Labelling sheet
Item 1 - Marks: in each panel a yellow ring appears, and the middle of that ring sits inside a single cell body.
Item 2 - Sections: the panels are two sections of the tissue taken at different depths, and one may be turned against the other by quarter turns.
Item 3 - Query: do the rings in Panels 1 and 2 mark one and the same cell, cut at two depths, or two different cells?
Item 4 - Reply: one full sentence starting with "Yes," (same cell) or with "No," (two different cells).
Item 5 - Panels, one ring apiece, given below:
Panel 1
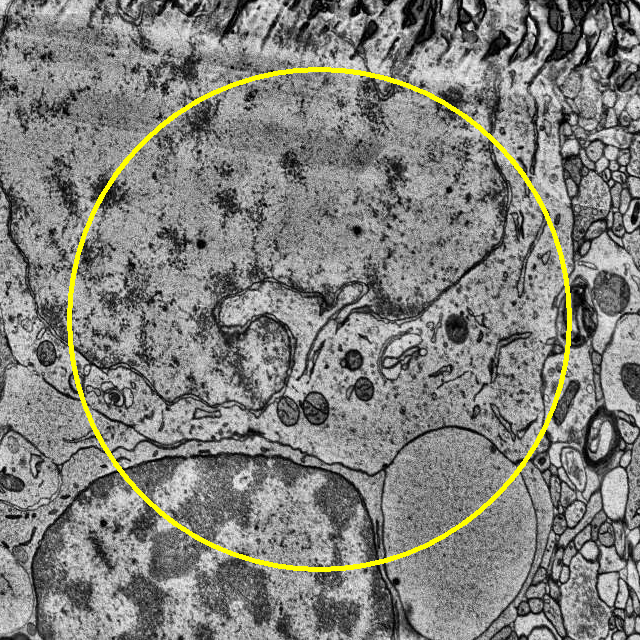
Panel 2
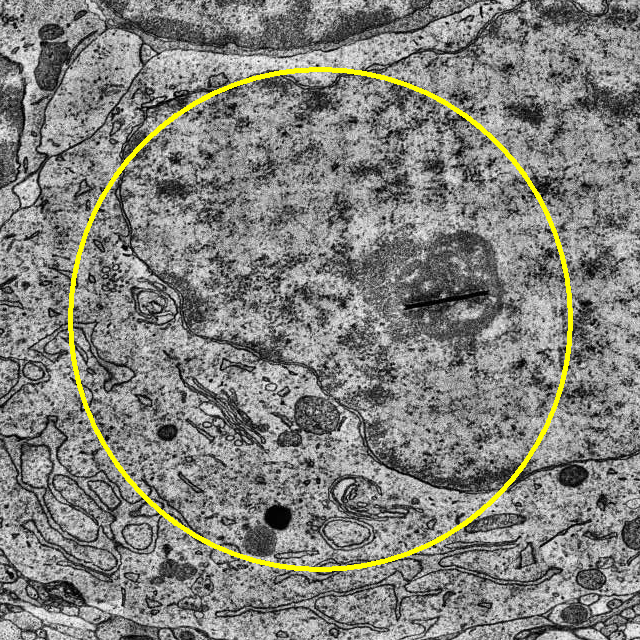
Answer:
Yes, both circles in yellow pick out the same cell.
